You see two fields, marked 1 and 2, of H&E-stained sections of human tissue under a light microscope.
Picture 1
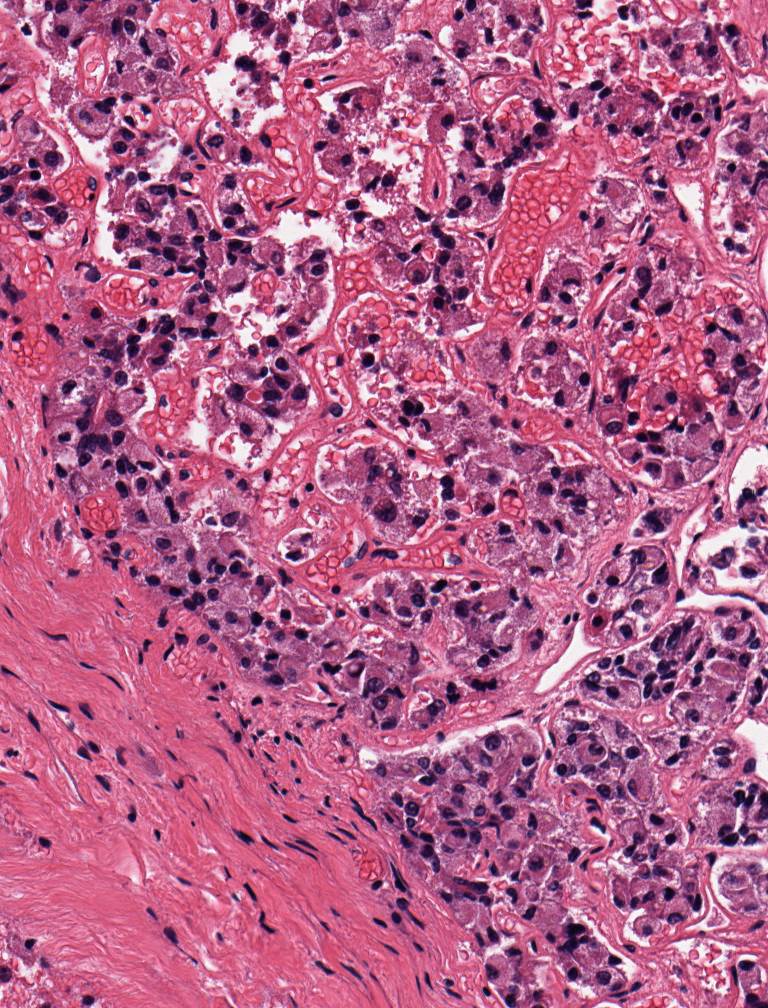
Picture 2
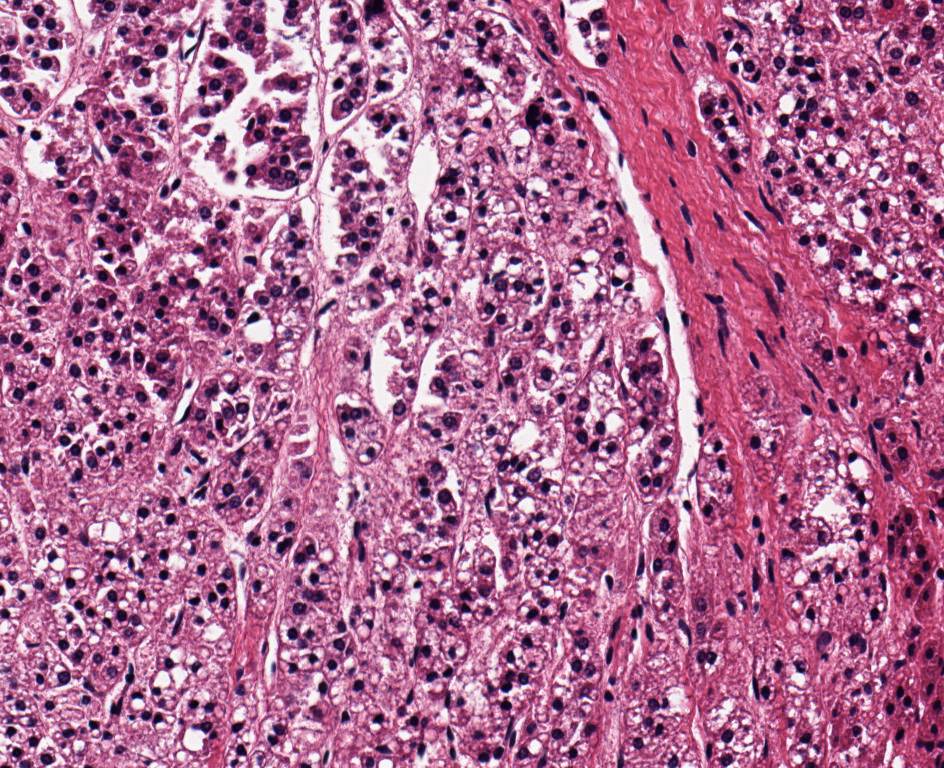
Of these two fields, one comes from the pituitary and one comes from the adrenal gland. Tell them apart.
1: pituitary
2: adrenal gland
